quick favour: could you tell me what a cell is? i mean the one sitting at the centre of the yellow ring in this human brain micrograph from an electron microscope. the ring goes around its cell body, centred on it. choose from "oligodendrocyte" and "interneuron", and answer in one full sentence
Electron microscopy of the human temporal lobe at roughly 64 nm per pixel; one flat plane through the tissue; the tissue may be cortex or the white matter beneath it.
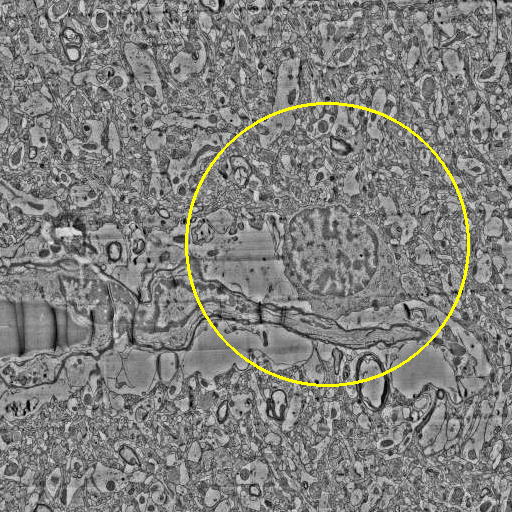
That's an oligodendrocyte, the cell sitting at the centre of the yellow ring.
